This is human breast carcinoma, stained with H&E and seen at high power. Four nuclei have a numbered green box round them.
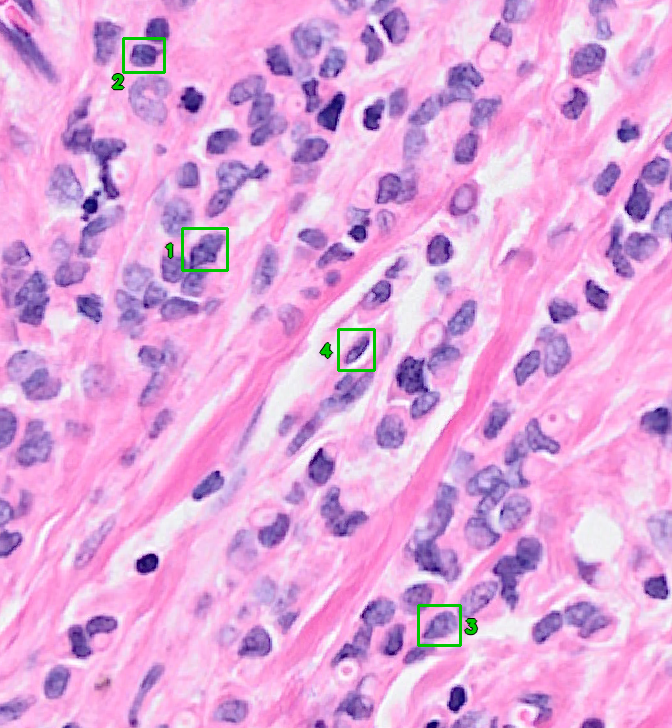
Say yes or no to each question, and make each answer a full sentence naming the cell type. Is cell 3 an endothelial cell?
No, cell 3 counts as a carcinoma cell rather than as an endothelial cell.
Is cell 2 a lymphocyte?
Yes, the cell pointed out as number 2 is a lymphocyte.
